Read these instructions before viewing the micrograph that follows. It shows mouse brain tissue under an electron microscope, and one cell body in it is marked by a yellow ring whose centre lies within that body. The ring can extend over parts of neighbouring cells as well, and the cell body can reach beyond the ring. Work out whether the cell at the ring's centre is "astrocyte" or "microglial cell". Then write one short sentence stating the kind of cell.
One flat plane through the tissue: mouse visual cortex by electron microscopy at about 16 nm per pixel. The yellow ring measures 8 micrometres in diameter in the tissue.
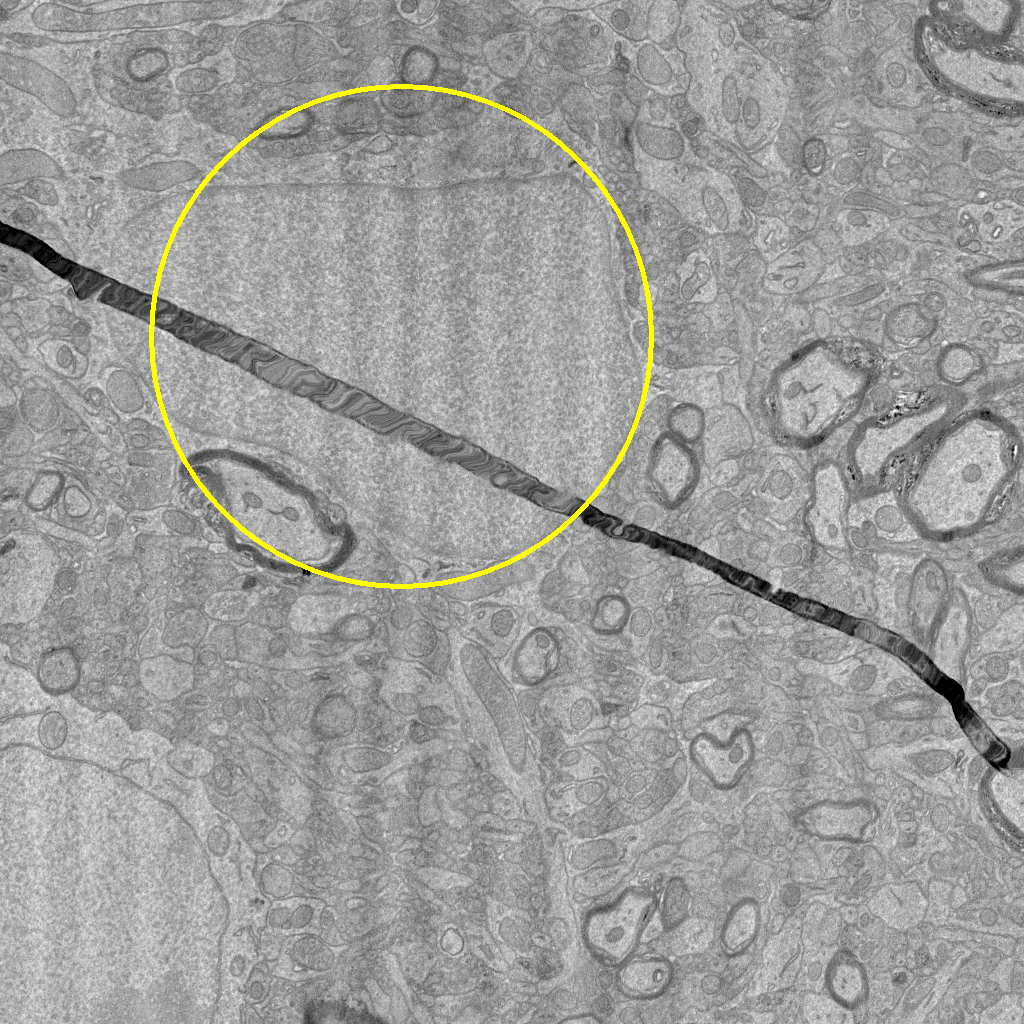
The cell at the ring's centre is an astrocyte.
